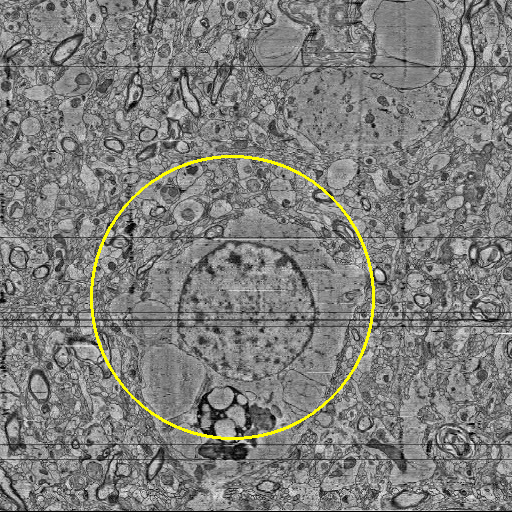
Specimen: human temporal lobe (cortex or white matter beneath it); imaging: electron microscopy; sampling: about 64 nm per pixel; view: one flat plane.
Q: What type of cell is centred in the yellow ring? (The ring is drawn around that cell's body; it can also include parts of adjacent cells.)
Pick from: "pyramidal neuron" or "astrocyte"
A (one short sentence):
The yellow ring is centred on an astrocyte.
